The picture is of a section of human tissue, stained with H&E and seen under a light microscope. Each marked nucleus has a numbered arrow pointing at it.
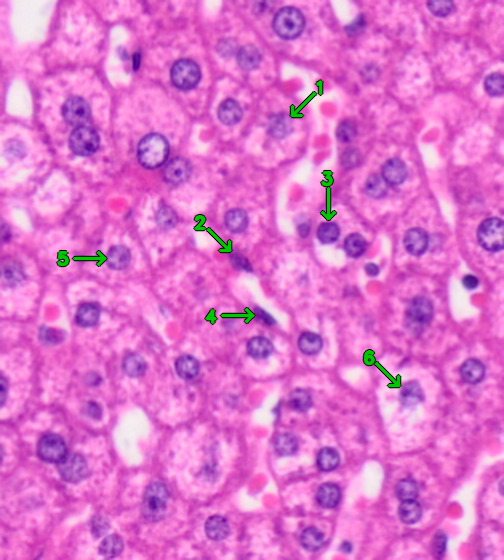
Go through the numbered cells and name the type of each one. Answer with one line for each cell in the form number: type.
1: hepatocyte
2: endothelial cell
3: hepatocyte
4: Kupffer cell
5: hepatocyte
6: hepatocyte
